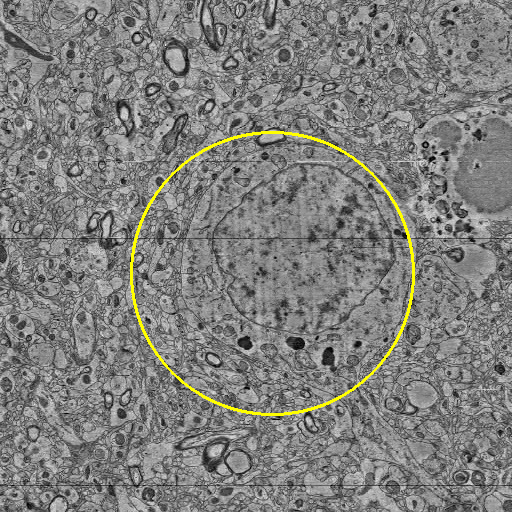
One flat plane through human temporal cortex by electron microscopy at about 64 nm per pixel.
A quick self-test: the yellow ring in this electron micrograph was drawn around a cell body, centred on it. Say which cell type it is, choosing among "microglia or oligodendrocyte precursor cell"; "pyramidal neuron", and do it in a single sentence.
The yellow-ringed cell is a pyramidal neuron.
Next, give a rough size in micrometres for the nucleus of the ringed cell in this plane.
The nucleus measures about 12 micrometers across in this plane.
